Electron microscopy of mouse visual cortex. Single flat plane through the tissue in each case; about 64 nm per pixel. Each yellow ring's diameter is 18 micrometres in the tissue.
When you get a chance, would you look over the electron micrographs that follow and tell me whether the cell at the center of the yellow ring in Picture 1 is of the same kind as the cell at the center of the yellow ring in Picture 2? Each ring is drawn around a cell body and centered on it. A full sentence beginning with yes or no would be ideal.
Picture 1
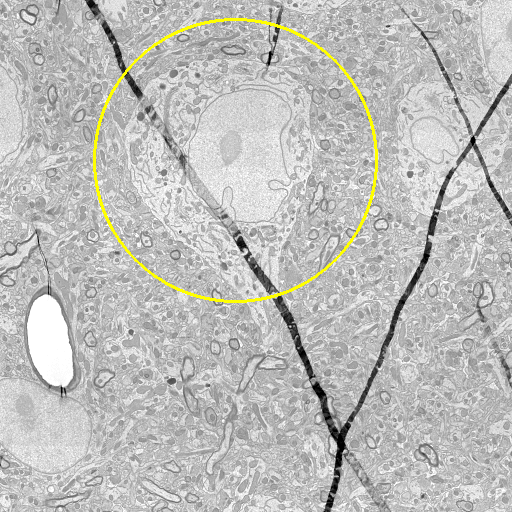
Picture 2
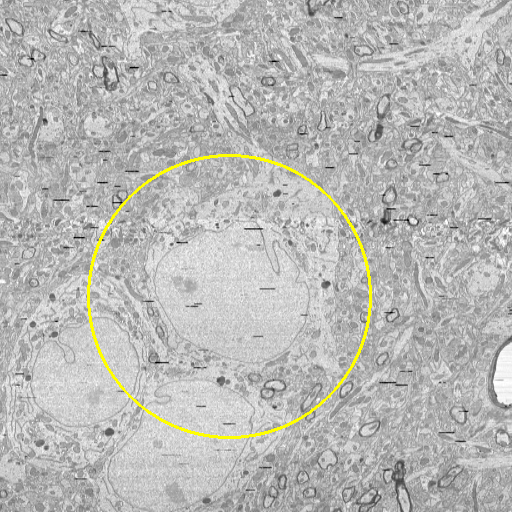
No, they are two kinds of cell.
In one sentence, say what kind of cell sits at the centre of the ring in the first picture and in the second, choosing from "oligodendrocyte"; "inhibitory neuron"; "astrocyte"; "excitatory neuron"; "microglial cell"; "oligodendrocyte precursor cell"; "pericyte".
The first picture's ringed cell is an inhibitory neuron, while the second picture's is an excitatory neuron.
